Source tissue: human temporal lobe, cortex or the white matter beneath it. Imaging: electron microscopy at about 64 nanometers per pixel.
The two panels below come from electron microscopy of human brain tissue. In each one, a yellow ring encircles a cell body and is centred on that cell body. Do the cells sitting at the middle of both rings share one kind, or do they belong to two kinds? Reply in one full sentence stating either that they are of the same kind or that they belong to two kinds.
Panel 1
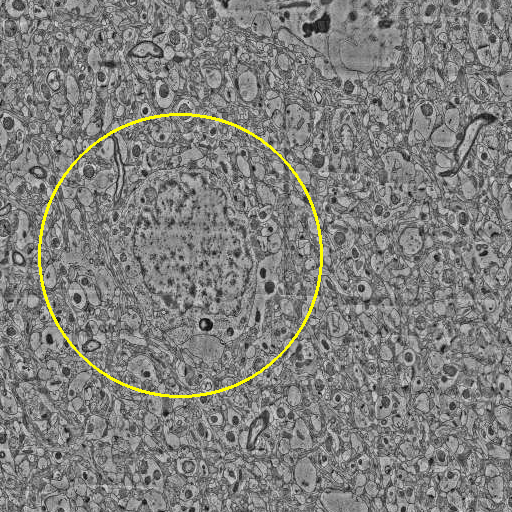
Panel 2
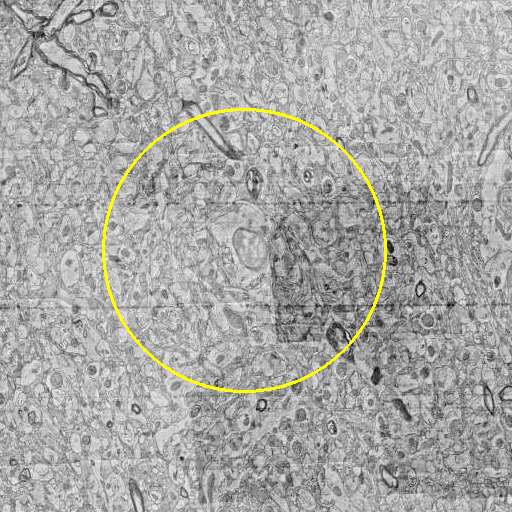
The cells at the centres of the two rings belong to two kinds.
